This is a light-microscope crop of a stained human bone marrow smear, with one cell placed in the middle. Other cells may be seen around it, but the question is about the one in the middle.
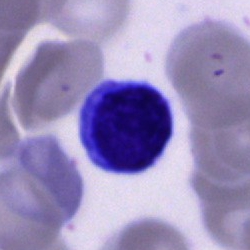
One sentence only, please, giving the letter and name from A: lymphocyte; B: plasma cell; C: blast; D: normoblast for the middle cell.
Option A is to be chosen, as the central cell is a lymphocyte.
